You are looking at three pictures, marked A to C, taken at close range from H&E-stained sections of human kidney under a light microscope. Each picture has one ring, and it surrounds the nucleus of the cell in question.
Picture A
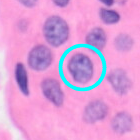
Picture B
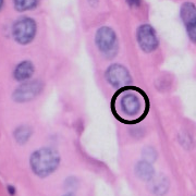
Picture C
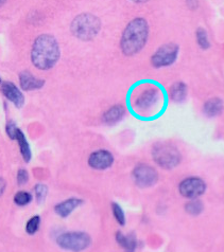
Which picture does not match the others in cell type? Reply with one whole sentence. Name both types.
Picture B is the odd one out: it shows a collecting duct cell, while the others show “loop of Henle or distal tubule cells”.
